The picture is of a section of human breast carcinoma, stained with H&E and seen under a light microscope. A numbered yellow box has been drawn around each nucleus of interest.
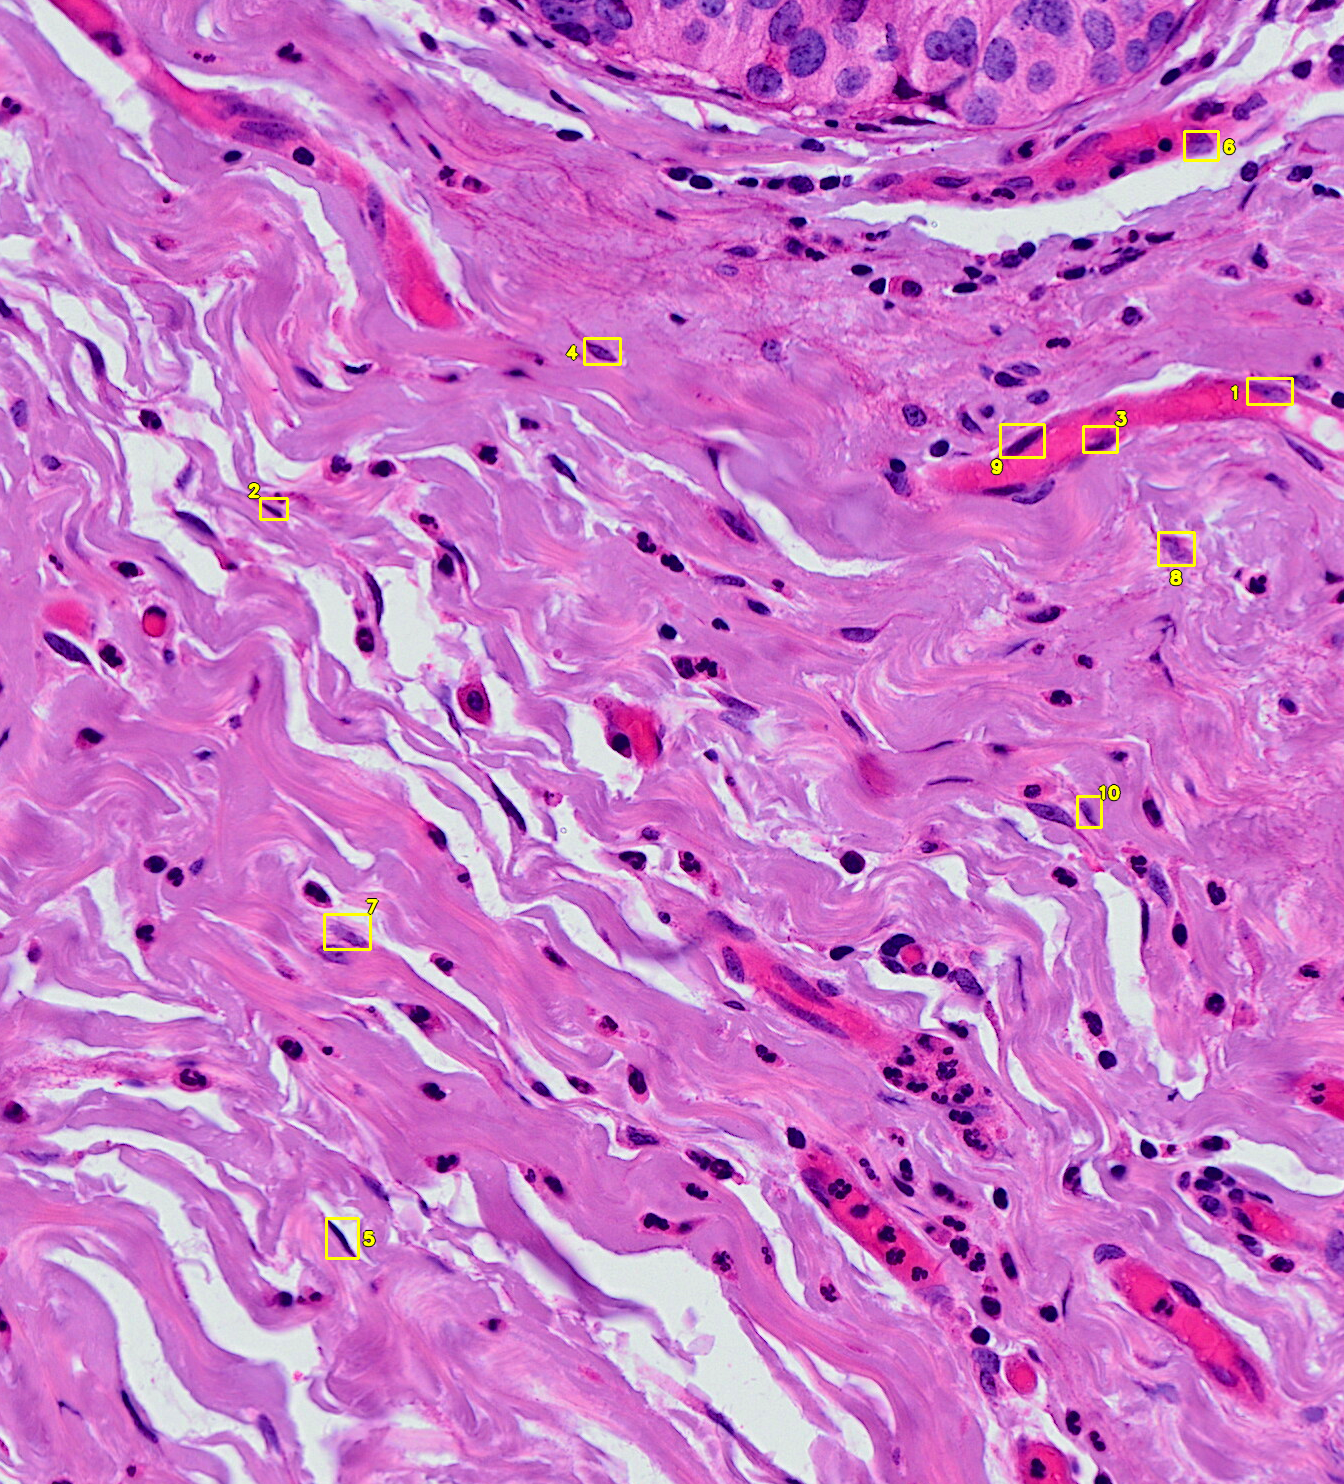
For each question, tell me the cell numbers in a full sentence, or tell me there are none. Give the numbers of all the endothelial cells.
The cells given the numbers 1, 3, 6 and 9 are endothelial cells.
